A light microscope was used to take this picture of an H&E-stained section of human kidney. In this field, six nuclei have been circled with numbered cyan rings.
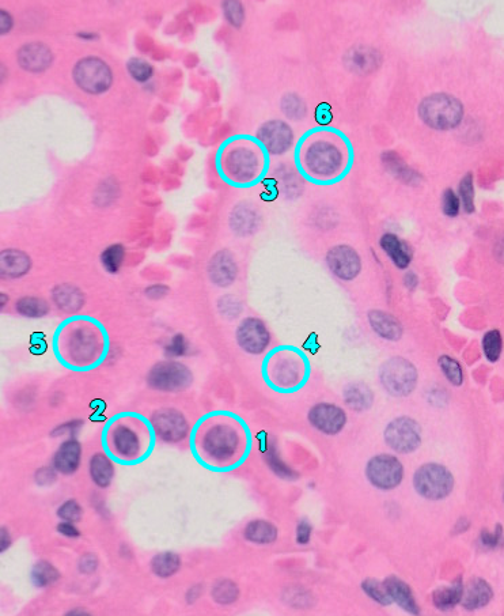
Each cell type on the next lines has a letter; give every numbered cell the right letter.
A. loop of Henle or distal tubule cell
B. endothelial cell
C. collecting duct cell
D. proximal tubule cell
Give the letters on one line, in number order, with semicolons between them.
A; A; C; C; A; C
